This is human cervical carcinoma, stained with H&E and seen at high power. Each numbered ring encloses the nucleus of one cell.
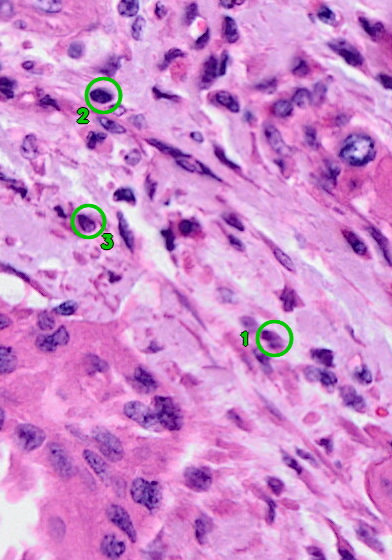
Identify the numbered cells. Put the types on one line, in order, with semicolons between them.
fibroblast; lymphocyte; macrophage or monocyte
